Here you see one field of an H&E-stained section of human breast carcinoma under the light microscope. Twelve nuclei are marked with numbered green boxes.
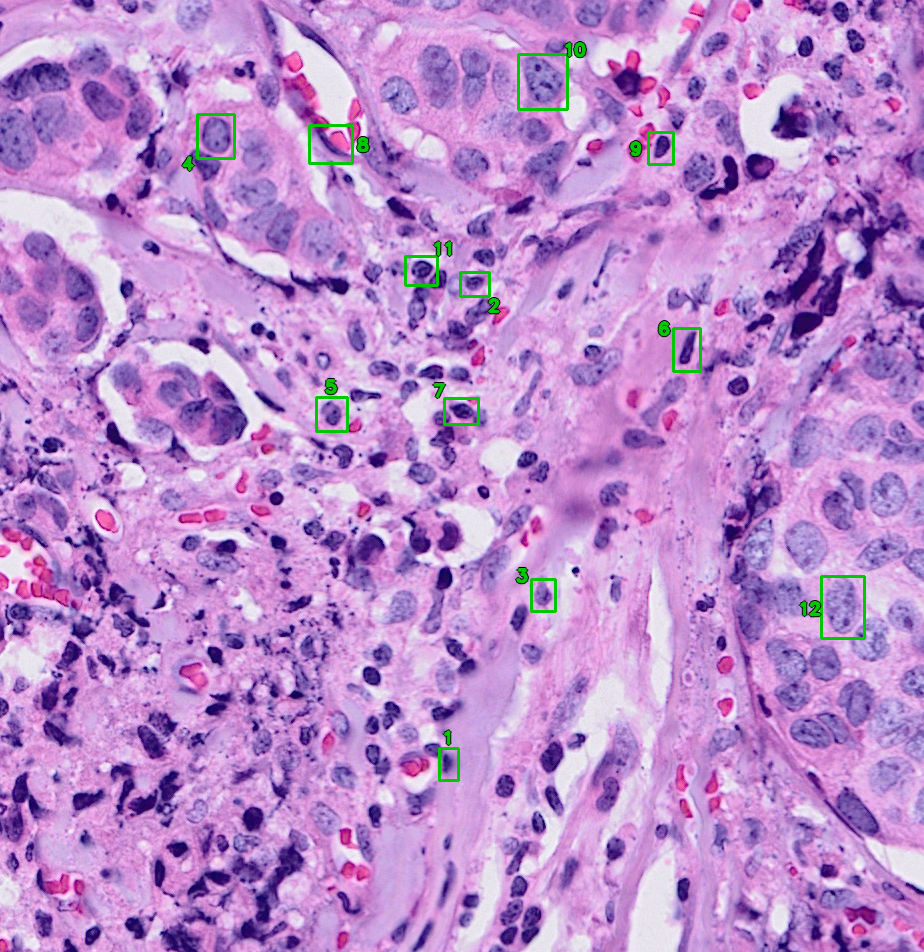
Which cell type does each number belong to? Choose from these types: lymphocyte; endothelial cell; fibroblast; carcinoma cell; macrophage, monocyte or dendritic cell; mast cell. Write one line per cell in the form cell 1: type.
cell 1: lymphocyte
cell 2: lymphocyte
cell 3: mast cell
cell 4: carcinoma cell
cell 5: mast cell
cell 6: lymphocyte
cell 7: lymphocyte
cell 8: endothelial cell
cell 9: lymphocyte
cell 10: carcinoma cell
cell 11: lymphocyte
cell 12: carcinoma cell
